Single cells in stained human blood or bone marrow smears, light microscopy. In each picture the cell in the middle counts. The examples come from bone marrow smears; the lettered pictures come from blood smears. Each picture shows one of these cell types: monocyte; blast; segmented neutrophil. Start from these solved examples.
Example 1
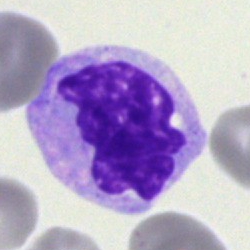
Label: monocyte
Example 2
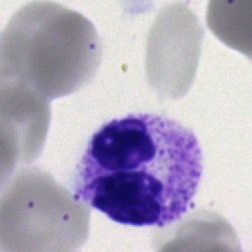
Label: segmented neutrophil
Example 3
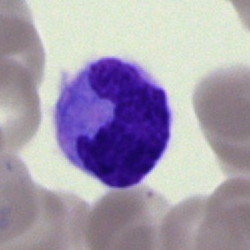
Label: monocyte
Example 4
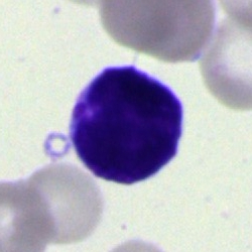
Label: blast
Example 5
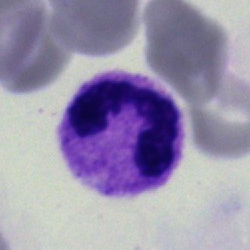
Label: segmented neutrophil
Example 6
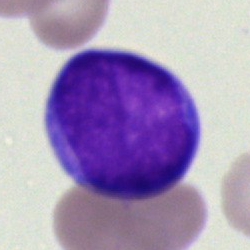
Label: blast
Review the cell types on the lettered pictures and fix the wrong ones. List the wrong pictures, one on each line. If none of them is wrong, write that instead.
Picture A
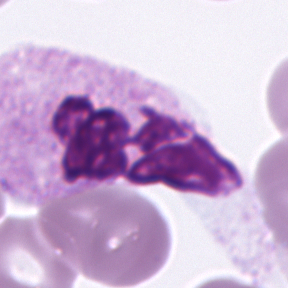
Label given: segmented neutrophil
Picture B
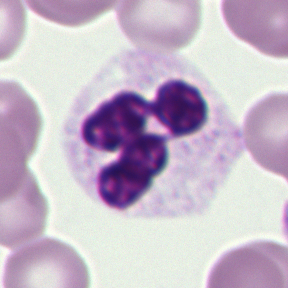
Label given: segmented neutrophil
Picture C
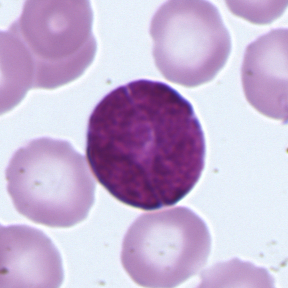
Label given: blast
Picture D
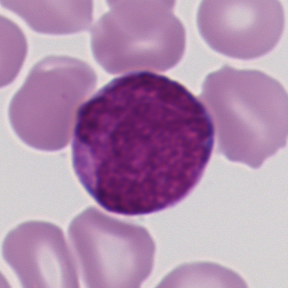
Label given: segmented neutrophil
D: blast, not segmented neutrophil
